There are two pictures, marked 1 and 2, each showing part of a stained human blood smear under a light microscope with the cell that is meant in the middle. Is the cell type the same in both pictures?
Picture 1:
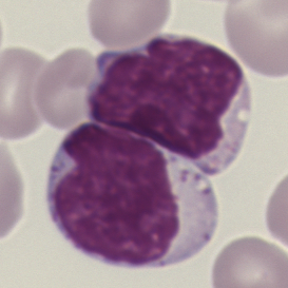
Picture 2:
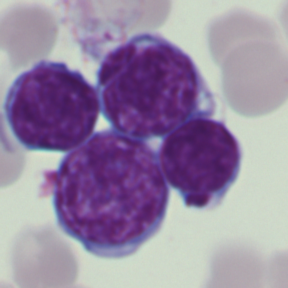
no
